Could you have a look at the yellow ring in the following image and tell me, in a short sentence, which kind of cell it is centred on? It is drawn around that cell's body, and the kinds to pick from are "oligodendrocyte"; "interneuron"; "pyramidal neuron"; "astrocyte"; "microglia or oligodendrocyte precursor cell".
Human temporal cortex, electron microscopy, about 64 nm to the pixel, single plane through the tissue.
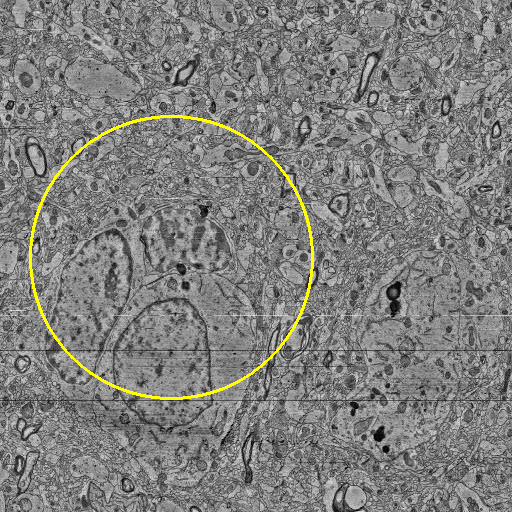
The ring is centred on the body of a microglial cell or oligodendrocyte precursor cell.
